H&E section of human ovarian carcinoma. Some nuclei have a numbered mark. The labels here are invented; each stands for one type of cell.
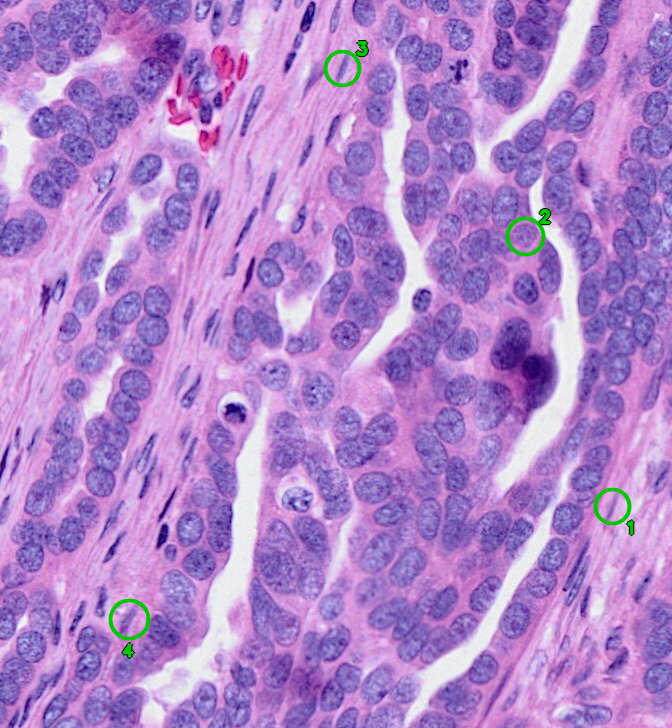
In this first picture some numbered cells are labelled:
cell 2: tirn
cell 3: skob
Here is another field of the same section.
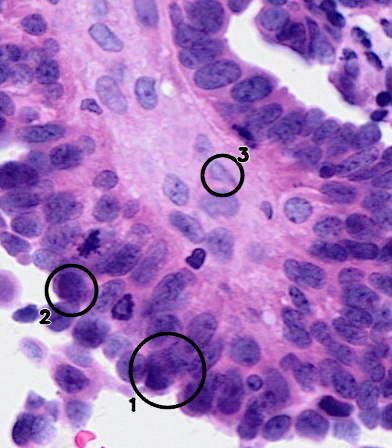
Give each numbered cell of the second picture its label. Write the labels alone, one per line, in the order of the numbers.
tirn
tirn
skob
